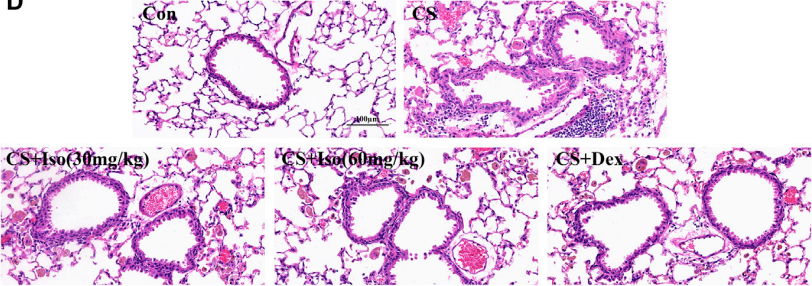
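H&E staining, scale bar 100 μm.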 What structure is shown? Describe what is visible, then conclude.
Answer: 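Round to folded tubes cut in cross section are lined by a purple epithelium of closely packed nuclei. These tubes are surrounded by alveolar tissue with thin septa. On this evidence: bronchial walls.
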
